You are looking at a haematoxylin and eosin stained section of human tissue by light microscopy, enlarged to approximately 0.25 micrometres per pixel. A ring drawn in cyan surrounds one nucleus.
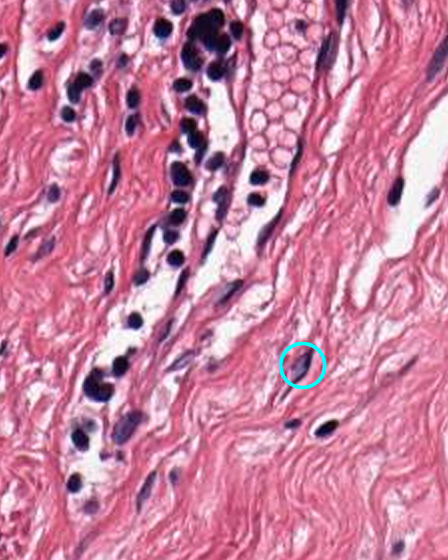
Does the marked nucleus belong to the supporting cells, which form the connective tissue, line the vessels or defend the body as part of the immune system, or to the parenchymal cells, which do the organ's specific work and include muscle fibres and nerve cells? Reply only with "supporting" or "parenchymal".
supporting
